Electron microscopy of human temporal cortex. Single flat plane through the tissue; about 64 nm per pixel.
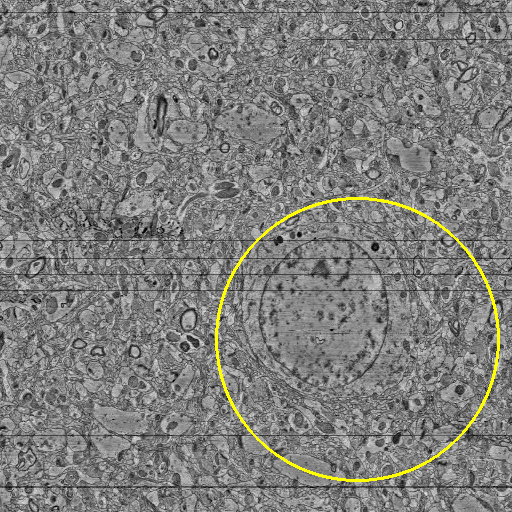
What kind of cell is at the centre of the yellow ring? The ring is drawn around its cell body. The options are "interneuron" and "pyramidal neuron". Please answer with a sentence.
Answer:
The yellow ring marks the cell body of a pyramidal neuron.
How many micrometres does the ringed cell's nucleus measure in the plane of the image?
In this plane, about 10 micrometres in length and 8 in width.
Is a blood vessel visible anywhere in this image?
No, there is none.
